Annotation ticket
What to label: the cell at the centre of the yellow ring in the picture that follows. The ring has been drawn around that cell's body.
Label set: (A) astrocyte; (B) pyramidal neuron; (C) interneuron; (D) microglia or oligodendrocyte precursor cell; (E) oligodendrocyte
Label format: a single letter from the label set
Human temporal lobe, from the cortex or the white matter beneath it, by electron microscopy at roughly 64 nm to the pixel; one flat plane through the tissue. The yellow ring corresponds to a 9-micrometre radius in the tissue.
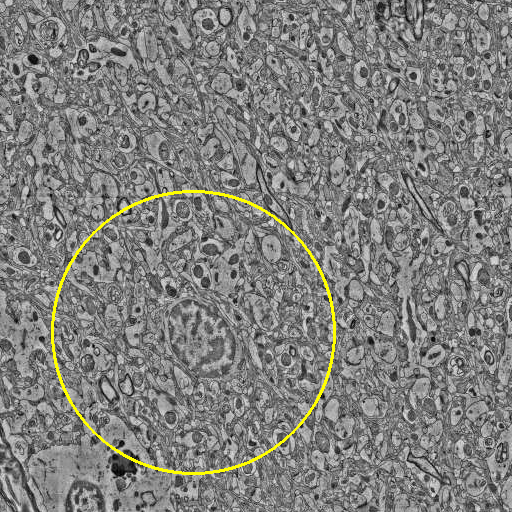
E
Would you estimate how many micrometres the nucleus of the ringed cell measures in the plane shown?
In this plane the nucleus spans approximately 5 by 4 micrometers.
